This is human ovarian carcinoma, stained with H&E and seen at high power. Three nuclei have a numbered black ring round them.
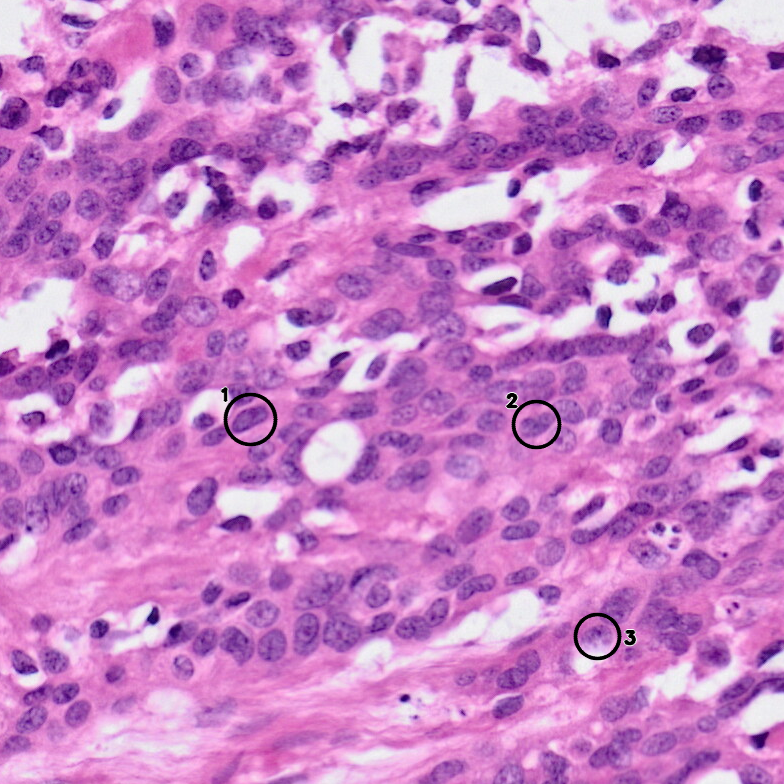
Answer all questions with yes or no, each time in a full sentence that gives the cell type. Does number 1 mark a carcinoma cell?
Yes, among the marked cells, the one with number 1 is a carcinoma cell.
